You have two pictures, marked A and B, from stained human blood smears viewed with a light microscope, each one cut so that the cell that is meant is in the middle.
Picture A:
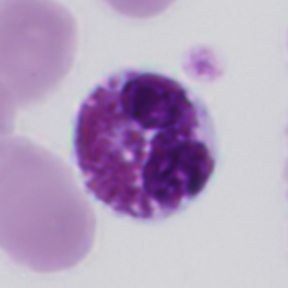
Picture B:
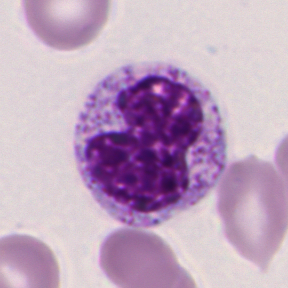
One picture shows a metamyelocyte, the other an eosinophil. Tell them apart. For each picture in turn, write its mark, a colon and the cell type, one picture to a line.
A: eosinophil
B: metamyelocyte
